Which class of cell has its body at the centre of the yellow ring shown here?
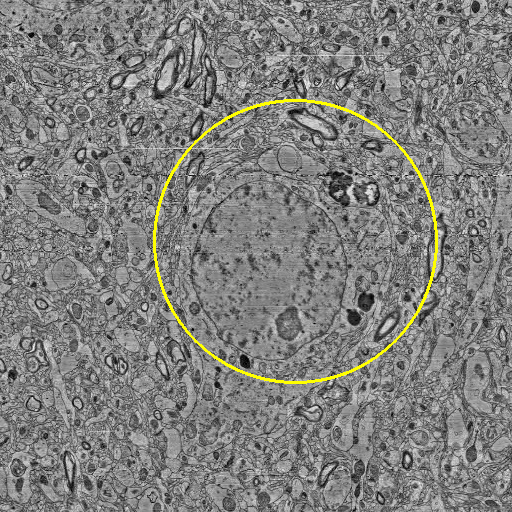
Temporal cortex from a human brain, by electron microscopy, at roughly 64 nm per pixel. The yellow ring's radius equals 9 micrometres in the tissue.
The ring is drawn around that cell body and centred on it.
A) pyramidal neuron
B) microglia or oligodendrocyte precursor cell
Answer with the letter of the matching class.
A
